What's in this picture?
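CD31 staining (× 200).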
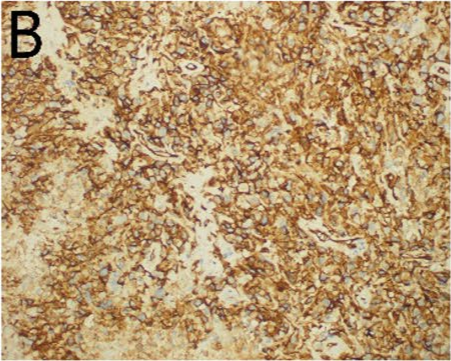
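The tumor cells here are stained with a brown chromogen that outlines their membranes, producing a dense net of brown rings over the whole field. Nuclei are pale blue from the counterstain and sit inside these brown outlines. A few paler areas with less staining lie among the strongly stained sheets of cells.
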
